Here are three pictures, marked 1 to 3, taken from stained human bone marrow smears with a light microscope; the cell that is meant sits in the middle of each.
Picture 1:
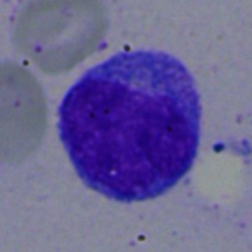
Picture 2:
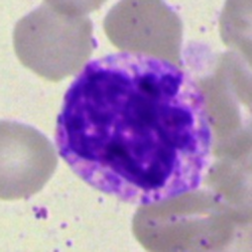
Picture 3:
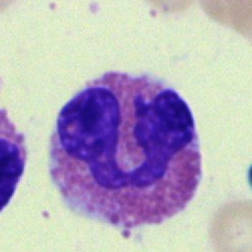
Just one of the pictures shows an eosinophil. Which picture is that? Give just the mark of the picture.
3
